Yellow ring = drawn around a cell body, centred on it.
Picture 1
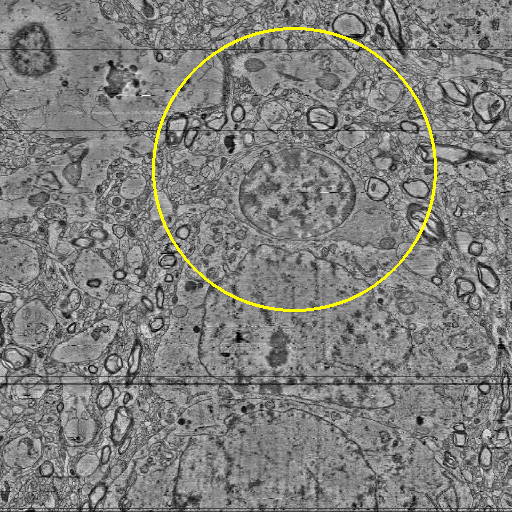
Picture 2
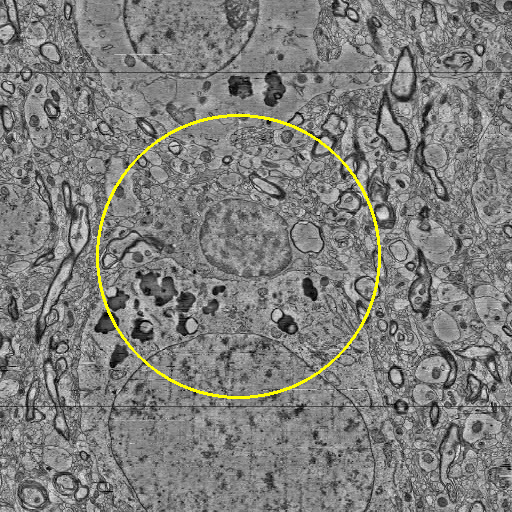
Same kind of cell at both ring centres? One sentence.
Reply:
Yes, they are the same kind of cell.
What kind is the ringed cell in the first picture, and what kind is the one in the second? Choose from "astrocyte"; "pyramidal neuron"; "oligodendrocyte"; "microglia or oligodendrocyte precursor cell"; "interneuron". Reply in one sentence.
In each picture the ringed cell is an oligodendrocyte.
